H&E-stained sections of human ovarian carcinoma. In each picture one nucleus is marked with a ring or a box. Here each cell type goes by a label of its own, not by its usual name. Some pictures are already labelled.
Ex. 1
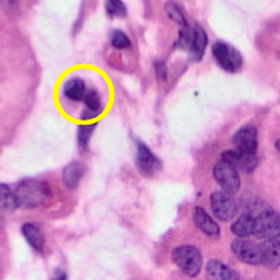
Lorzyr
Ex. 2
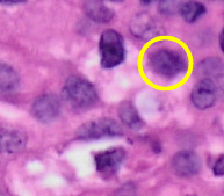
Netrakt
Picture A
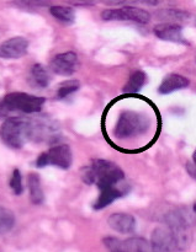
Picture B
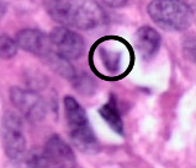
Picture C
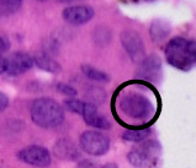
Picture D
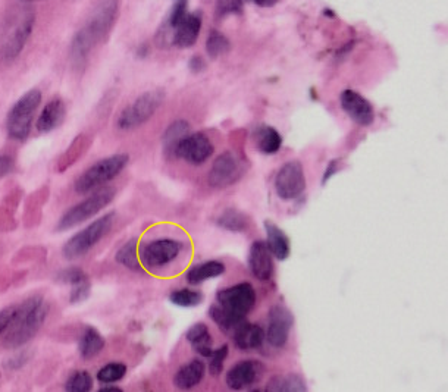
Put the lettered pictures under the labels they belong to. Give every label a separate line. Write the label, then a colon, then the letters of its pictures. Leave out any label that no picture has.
Lorzyr: D
Netrakt: A, B, C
